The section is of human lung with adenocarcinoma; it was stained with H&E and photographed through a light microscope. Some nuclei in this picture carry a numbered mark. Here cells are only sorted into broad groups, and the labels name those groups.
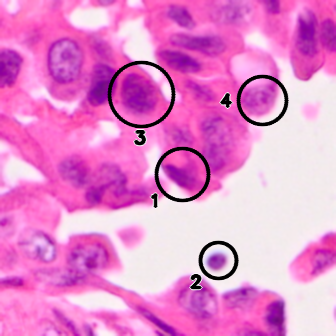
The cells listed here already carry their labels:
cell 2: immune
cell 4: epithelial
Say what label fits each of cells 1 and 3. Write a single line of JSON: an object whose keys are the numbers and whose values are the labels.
{"1": "epithelial", "3": "epithelial"}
